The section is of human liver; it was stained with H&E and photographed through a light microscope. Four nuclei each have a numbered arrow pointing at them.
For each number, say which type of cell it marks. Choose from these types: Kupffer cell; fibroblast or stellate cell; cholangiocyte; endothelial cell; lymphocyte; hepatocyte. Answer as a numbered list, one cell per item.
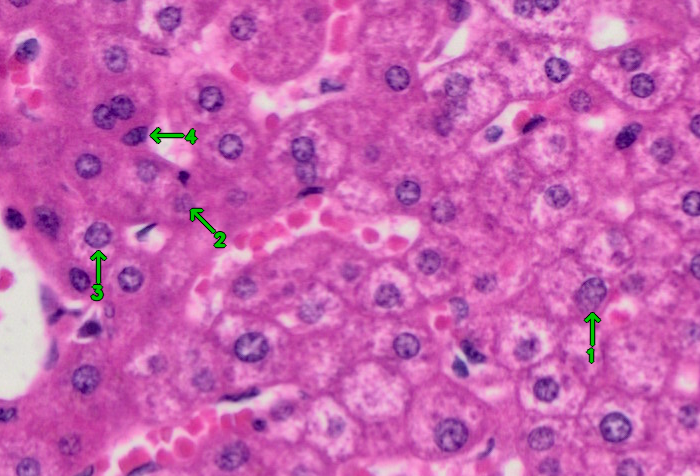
1. hepatocyte
2. hepatocyte
3. hepatocyte
4. fibroblast or stellate cell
